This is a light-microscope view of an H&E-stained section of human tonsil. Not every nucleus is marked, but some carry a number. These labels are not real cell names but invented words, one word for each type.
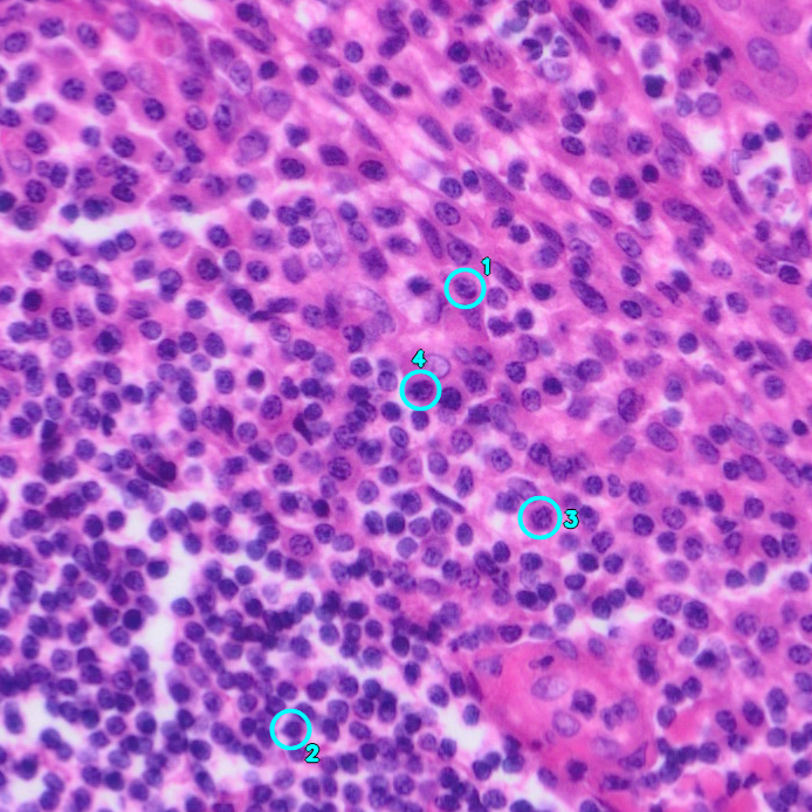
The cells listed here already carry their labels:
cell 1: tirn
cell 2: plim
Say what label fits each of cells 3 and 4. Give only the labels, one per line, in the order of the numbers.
tirn
tirn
